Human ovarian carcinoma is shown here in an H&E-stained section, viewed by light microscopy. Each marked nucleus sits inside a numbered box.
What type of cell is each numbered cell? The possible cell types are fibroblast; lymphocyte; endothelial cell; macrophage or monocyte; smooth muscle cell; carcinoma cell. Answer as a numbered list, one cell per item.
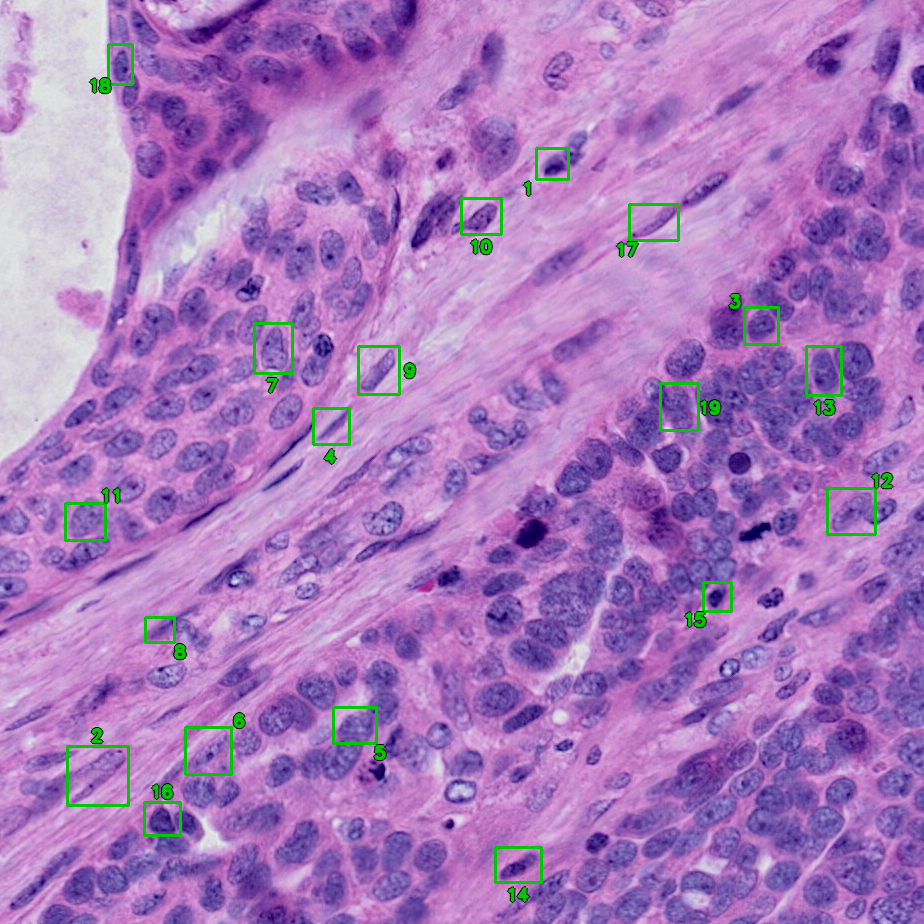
1. lymphocyte
2. fibroblast
3. carcinoma cell
4. fibroblast
5. carcinoma cell
6. fibroblast
7. carcinoma cell
8. fibroblast
9. fibroblast
10. macrophage or monocyte
11. carcinoma cell
12. fibroblast
13. carcinoma cell
14. lymphocyte
15. lymphocyte
16. carcinoma cell
17. fibroblast
18. carcinoma cell
19. carcinoma cell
